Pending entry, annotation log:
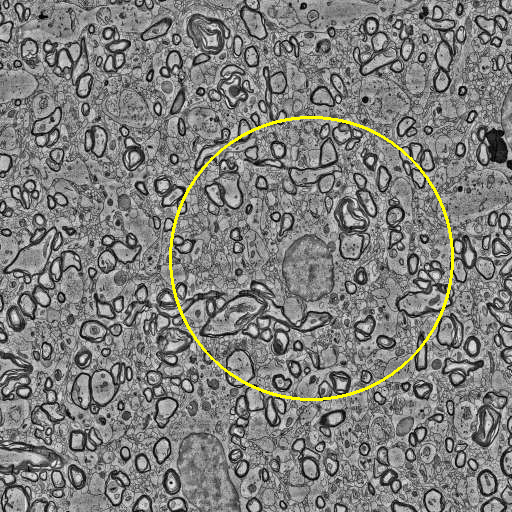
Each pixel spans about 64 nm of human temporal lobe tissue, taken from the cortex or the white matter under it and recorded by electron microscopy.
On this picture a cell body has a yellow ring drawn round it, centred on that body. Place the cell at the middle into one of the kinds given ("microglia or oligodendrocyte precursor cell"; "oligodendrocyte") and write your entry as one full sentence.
The cell body at the middle of the yellow ring belongs to an oligodendrocyte.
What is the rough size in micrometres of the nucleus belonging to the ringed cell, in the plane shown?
In this plane the nucleus spans approximately 4 by 3 micrometers.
